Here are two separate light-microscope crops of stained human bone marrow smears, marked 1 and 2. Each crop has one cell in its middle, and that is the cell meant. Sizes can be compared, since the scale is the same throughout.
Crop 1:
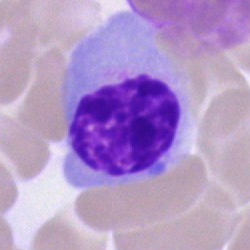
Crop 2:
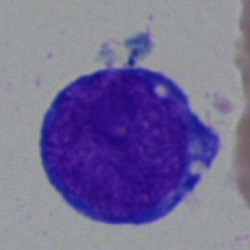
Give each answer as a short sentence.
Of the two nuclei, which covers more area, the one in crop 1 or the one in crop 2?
It is the nucleus in crop 2, about 2 times as large in area as the one in crop 1.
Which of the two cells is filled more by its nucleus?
Of the two, the nucleus in crop 2 makes up the greater part of its cell.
